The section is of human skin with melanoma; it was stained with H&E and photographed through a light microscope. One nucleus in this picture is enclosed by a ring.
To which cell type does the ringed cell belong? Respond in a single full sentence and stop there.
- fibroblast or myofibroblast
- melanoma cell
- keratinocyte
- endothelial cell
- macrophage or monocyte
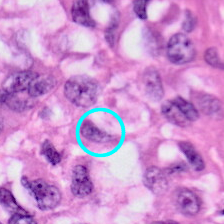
The cell type represented by the ringed cell is that of a melanoma cell.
